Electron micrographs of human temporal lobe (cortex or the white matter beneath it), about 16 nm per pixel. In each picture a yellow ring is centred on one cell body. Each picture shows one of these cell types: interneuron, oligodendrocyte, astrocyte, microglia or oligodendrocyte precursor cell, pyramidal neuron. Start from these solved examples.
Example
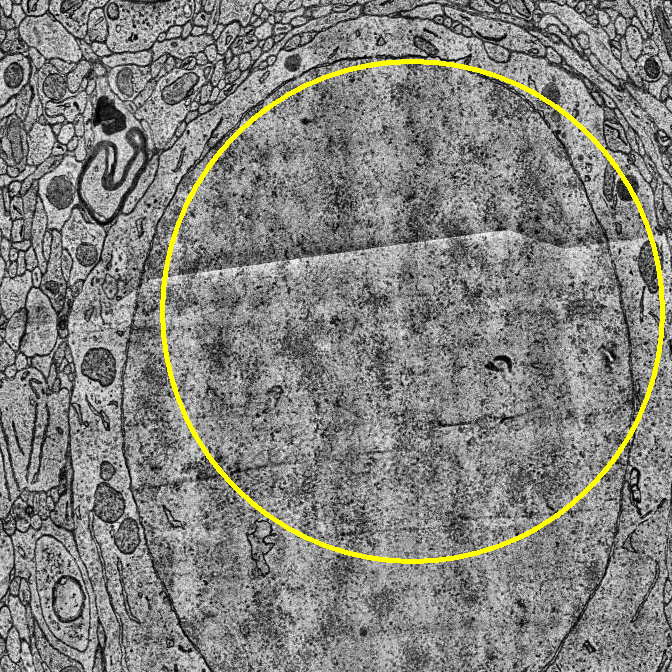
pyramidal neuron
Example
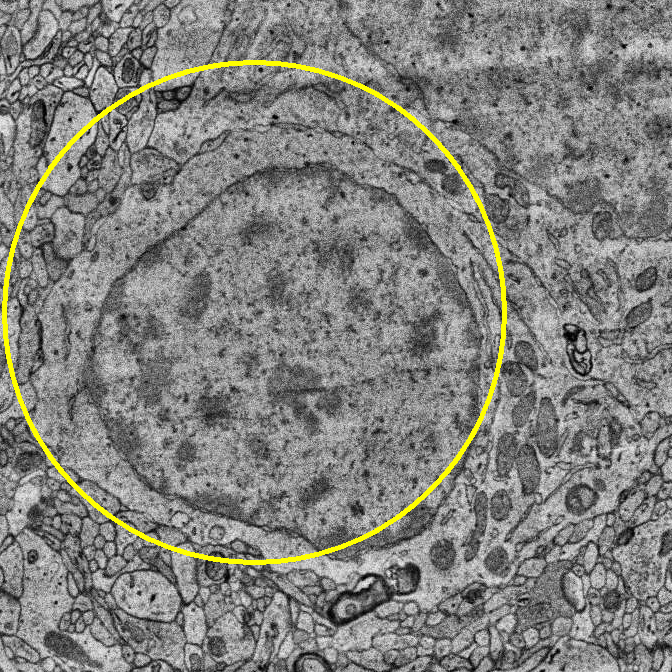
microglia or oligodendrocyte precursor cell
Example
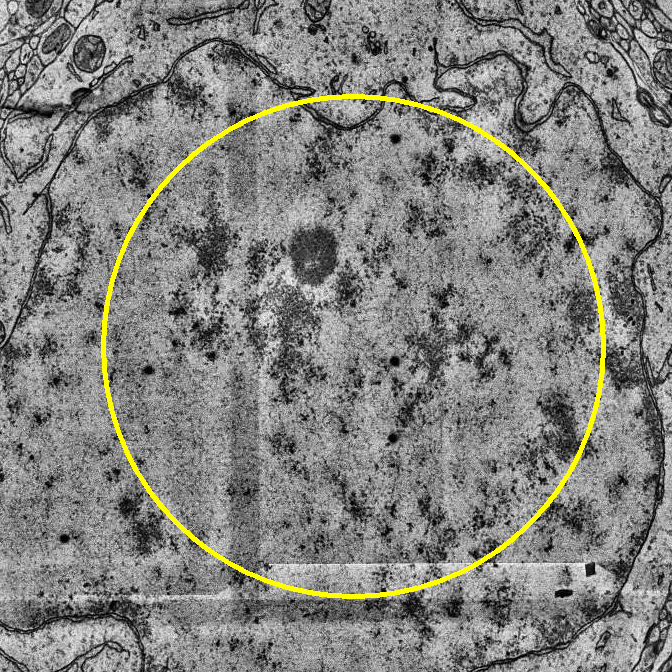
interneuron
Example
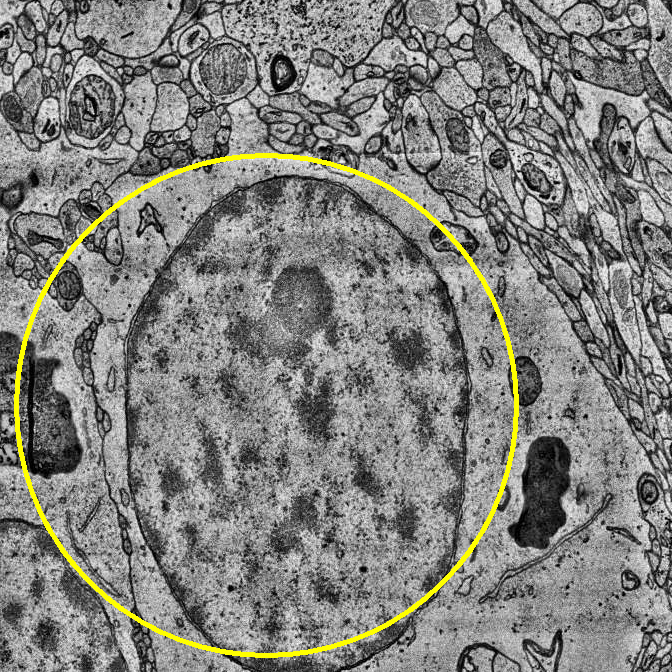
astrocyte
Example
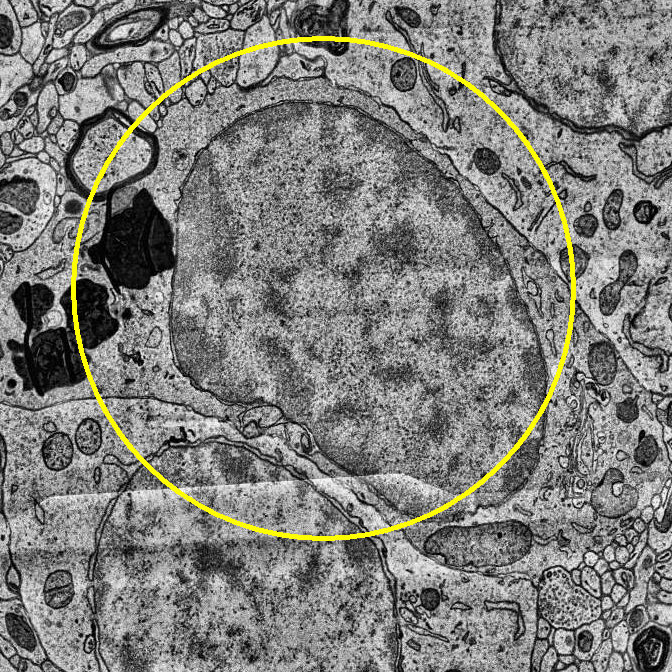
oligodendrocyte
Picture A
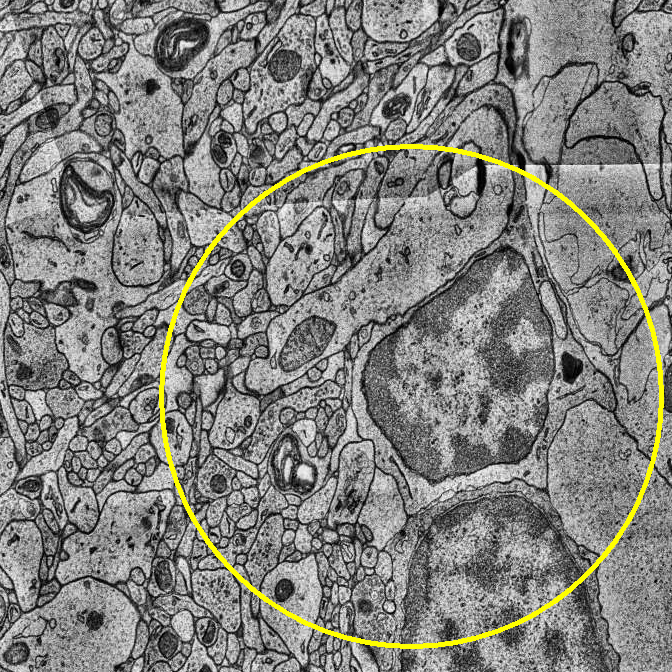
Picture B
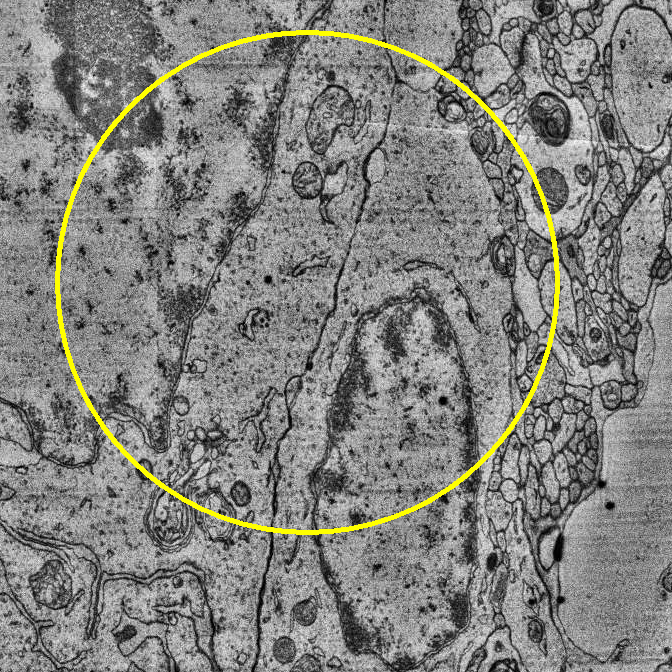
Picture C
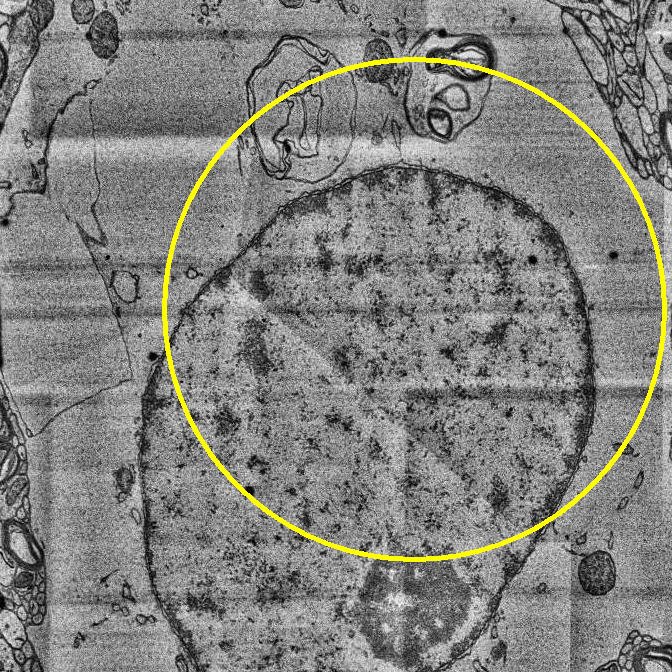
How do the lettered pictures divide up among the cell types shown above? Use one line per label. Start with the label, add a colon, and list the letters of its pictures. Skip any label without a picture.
astrocyte: C
microglia or oligodendrocyte precursor cell: A, B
